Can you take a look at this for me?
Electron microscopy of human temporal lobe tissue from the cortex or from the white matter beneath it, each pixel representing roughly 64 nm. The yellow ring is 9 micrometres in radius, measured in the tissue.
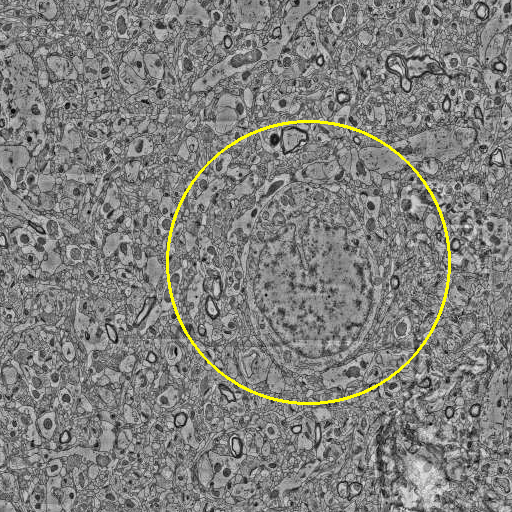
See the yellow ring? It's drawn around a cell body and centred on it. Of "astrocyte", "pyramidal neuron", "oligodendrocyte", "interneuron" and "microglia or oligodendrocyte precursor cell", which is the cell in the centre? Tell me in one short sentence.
The one in the centre is an interneuron.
